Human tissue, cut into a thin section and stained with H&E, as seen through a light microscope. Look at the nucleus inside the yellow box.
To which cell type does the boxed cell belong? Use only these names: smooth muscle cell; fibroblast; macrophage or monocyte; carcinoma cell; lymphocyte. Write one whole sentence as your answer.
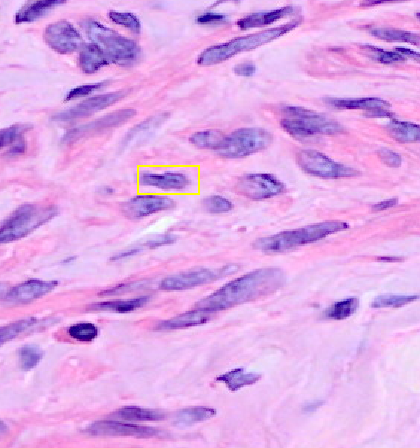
Typologically, the boxed cell is a smooth muscle cell in this section.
